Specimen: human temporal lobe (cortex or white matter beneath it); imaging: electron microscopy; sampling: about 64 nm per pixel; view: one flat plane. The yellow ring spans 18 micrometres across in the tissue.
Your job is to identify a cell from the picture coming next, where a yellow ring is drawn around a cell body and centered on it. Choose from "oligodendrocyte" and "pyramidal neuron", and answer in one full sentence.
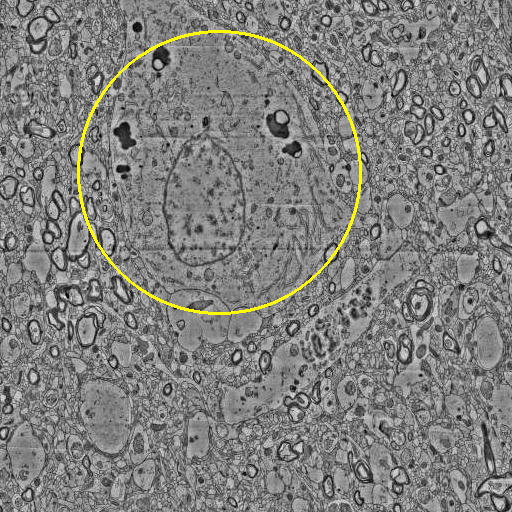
Centered in the yellow ring of the picture is the body of a pyramidal neuron.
